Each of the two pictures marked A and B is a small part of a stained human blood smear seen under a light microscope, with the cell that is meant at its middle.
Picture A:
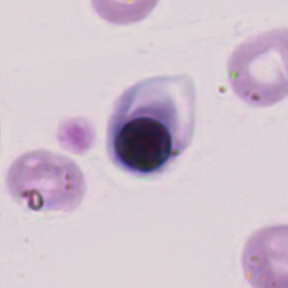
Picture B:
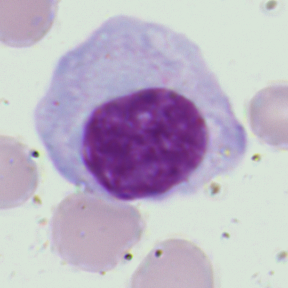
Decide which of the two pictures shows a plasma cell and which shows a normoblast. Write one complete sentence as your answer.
The cell in picture A is a normoblast, and the one in picture B is a plasma cell.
